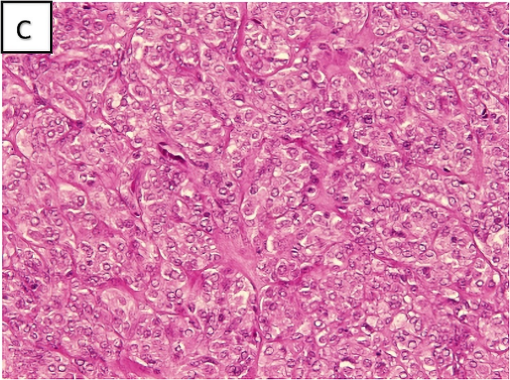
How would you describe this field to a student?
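This is an epithelioid tumor whose round, regular cells are evenly dispersed and arranged in nests. Thin pink fibrous septa separate the nests, and the cells have pale to clear cytoplasm with round, uniform nuclei.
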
